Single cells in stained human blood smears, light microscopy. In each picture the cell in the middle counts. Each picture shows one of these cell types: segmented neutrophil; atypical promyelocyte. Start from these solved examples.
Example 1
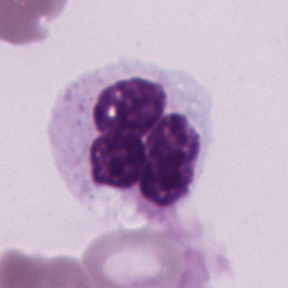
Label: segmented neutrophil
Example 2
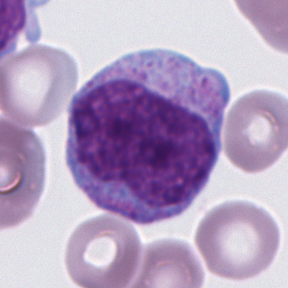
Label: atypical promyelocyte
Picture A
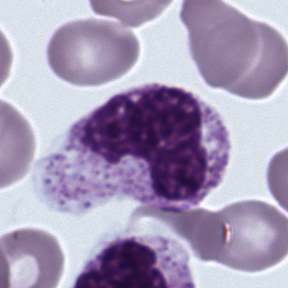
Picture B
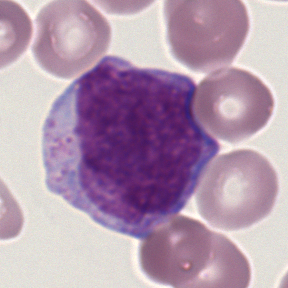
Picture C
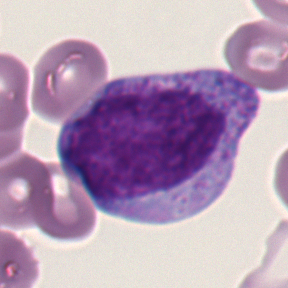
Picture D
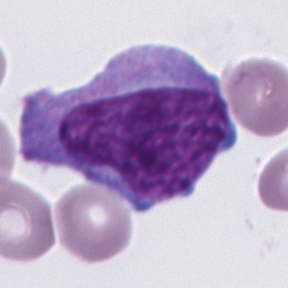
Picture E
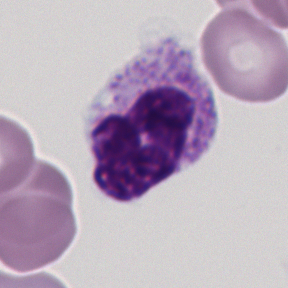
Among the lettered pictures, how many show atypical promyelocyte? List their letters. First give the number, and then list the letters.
Count: 3 (B, C, D)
